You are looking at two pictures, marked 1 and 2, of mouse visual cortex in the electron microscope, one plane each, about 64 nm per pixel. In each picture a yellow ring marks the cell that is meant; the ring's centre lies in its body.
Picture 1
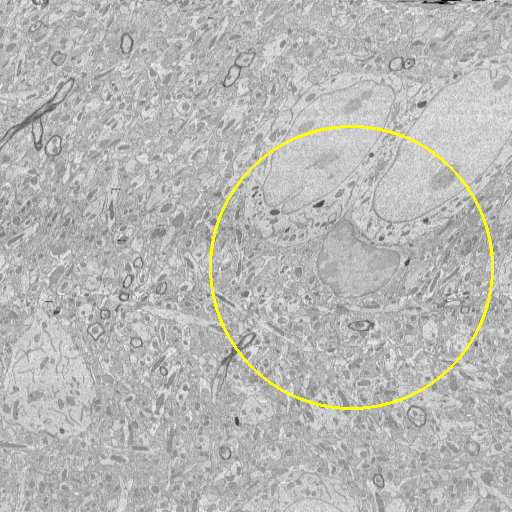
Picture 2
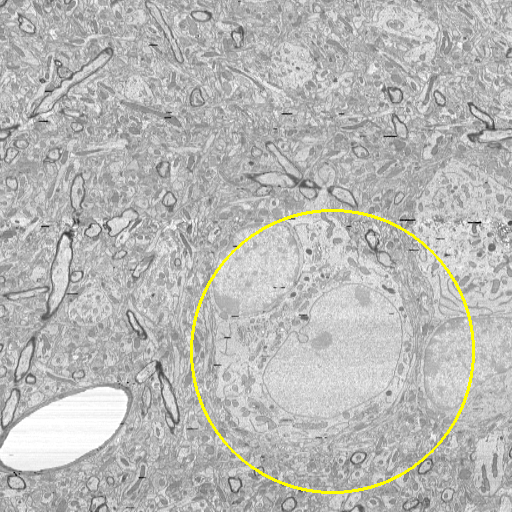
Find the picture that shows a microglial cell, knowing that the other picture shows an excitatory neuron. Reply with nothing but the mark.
1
